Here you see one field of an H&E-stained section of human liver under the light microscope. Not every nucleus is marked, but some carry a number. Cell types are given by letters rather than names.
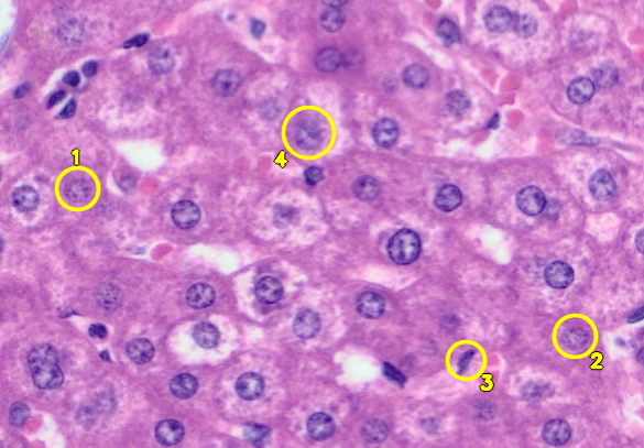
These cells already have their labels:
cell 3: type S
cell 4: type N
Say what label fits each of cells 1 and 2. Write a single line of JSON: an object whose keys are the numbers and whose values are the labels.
{"1": "type N", "2": "type N"}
